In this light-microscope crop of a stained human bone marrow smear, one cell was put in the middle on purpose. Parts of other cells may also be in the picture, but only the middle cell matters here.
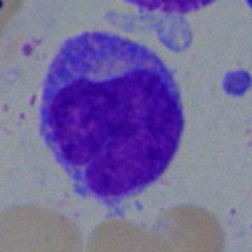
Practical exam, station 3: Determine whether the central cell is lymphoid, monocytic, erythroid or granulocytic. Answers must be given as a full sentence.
The cell occupying the middle of the crop is classified within the monocytic lineage.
